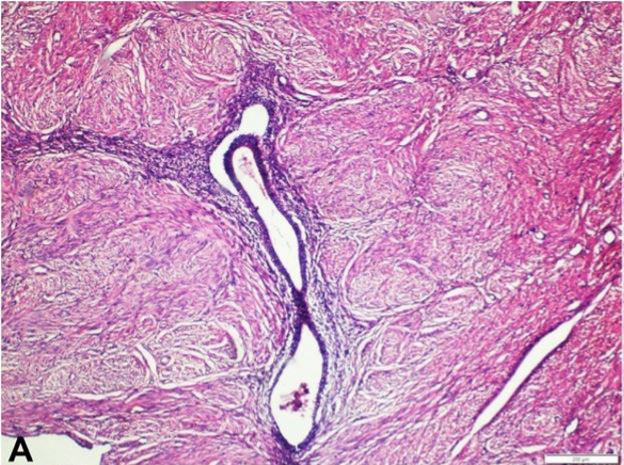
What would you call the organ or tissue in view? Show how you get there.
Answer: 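A branching gland with an open lumen lies in the centre. A dense cuff of small, closely packed, dark-nucleated stromal cells surrounds the gland. The focus is set within pink bundles of smooth muscle. So: endometrial glands and stroma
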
